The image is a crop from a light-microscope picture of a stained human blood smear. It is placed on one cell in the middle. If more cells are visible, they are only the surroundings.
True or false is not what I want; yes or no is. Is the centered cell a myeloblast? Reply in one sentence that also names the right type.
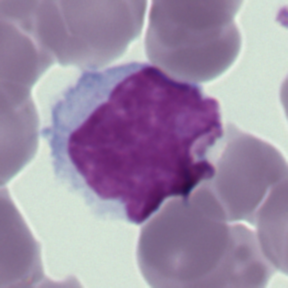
No, the middle cell is actually a typical lymphocyte rather than a myeloblast.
